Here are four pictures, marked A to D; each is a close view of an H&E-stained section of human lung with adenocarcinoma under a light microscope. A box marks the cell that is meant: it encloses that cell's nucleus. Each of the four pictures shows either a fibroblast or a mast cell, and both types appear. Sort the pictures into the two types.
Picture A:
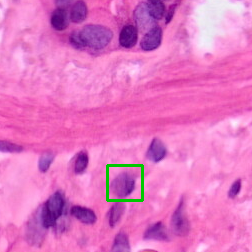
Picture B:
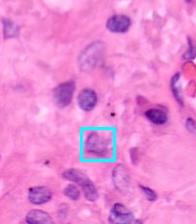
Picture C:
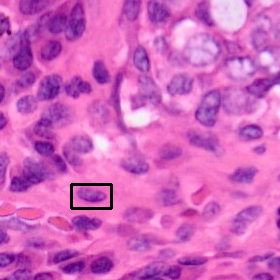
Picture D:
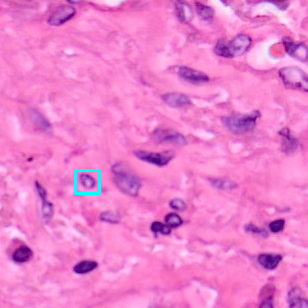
A: fibroblast
B: fibroblast
C: mast cell
D: mast cell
